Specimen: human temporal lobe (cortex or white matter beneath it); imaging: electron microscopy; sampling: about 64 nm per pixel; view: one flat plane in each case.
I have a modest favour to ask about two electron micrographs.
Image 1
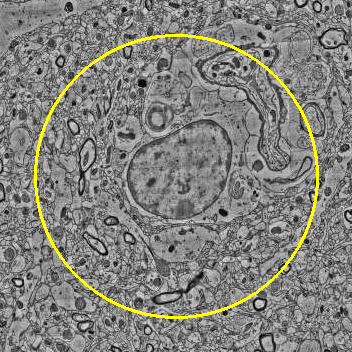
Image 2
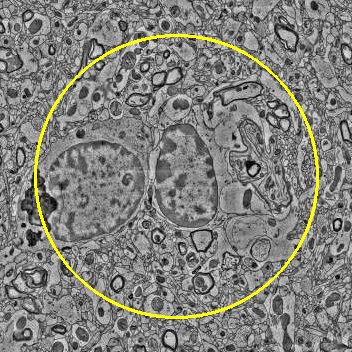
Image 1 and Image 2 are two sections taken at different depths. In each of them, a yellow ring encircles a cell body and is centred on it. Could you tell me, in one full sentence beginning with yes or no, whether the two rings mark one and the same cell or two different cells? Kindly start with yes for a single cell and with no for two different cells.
No, the two rings do not mark one cell; they mark two different cells.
